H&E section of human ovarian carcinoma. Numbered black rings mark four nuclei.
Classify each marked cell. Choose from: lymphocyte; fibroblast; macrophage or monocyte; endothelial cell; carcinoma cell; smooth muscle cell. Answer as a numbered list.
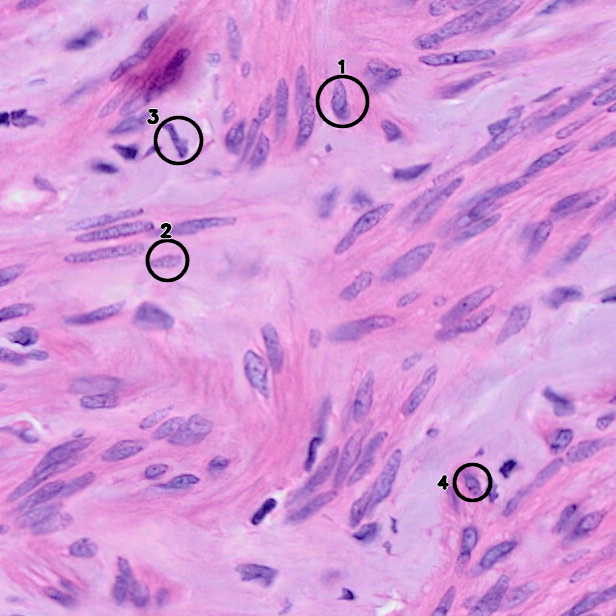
1. smooth muscle cell
2. smooth muscle cell
3. fibroblast
4. smooth muscle cell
